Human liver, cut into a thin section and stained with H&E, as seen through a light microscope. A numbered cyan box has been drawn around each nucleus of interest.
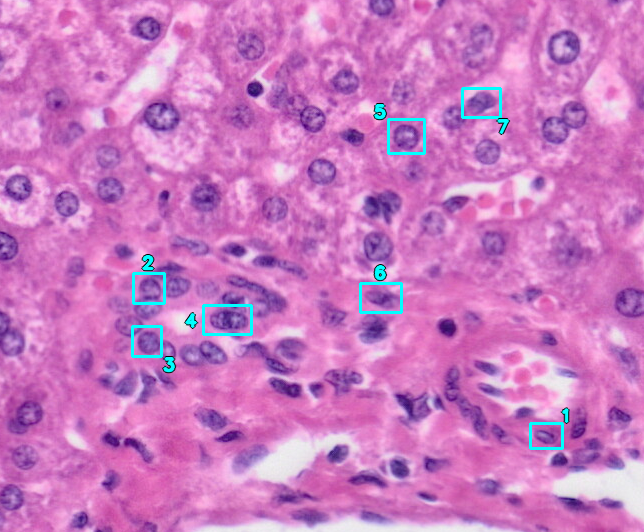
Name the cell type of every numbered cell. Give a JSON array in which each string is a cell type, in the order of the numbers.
["fibroblast or stellate cell", "cholangiocyte", "cholangiocyte", "cholangiocyte", "hepatocyte", "fibroblast or stellate cell", "endothelial cell"]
